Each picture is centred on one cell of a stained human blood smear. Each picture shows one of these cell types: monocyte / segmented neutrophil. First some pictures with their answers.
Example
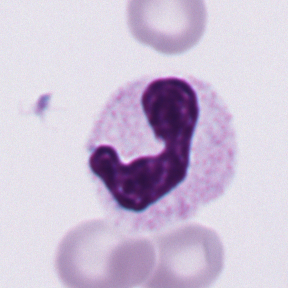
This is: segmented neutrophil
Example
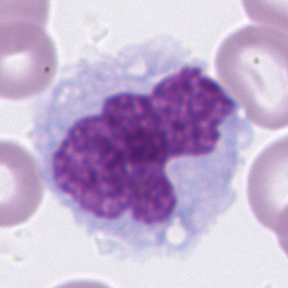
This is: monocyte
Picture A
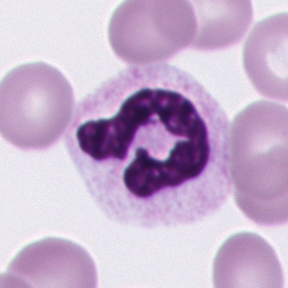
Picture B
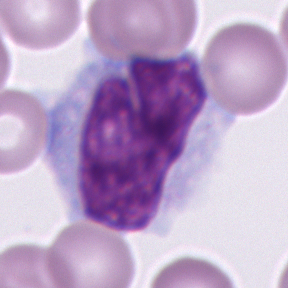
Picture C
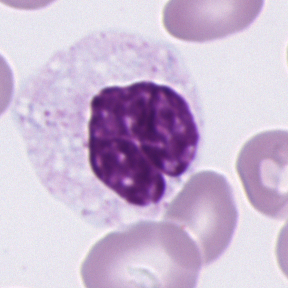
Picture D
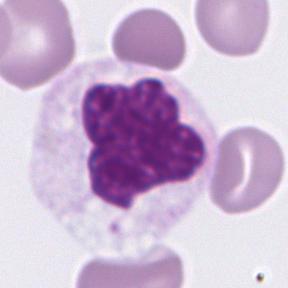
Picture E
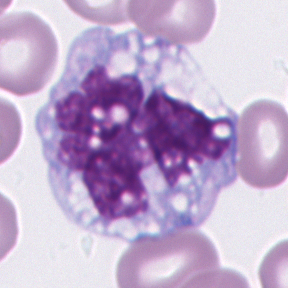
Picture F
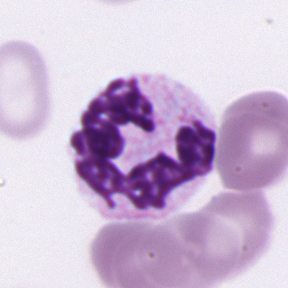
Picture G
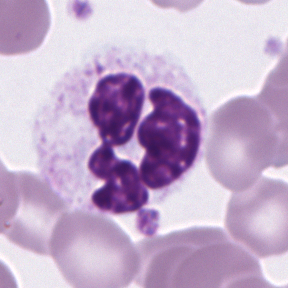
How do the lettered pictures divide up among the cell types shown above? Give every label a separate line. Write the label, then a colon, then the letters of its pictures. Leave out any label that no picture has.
monocyte: B, E
segmented neutrophil: A, C, D, F, G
